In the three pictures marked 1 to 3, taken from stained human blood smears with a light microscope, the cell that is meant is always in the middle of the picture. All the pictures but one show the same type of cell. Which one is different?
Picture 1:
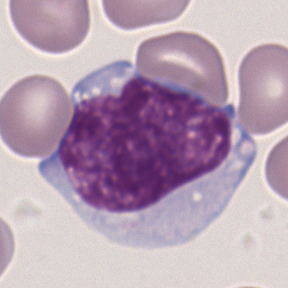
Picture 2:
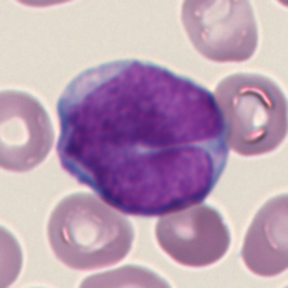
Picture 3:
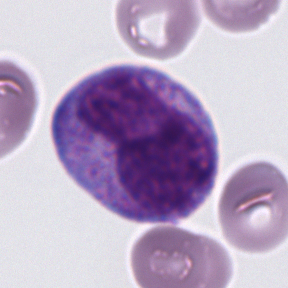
1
